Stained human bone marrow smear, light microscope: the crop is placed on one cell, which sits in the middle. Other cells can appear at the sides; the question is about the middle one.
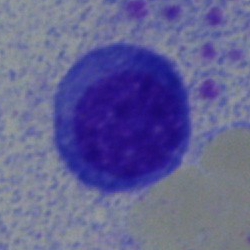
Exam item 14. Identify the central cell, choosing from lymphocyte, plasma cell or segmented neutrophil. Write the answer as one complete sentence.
At the crop's centre, the cell is a plasma cell.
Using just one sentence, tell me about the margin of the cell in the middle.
You can see a smooth boundary, with no projections sticking out.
